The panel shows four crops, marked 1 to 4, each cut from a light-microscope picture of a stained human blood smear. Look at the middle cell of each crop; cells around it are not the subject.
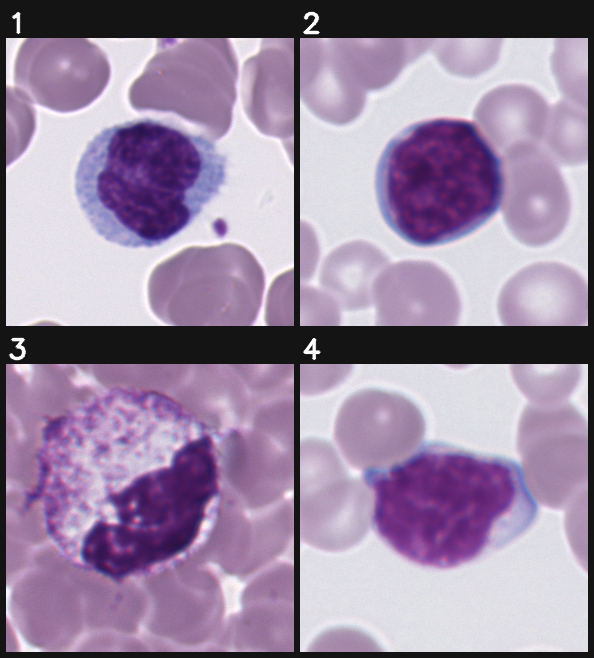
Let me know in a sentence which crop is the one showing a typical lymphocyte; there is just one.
When the crops are compared, crop 2 is the one showing a typical lymphocyte.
